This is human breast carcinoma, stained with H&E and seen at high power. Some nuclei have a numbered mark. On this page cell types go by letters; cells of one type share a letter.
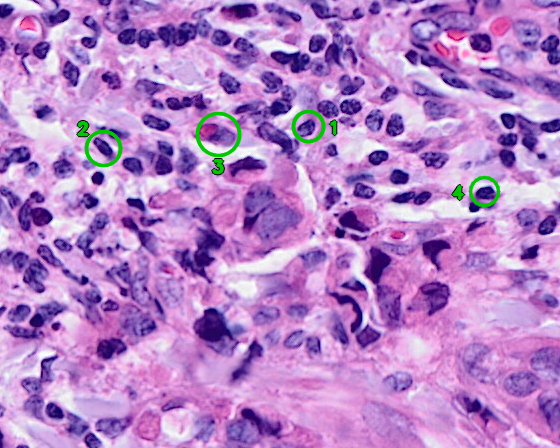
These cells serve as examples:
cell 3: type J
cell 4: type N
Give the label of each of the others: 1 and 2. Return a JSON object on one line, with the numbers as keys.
{"1": "type N", "2": "type N"}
